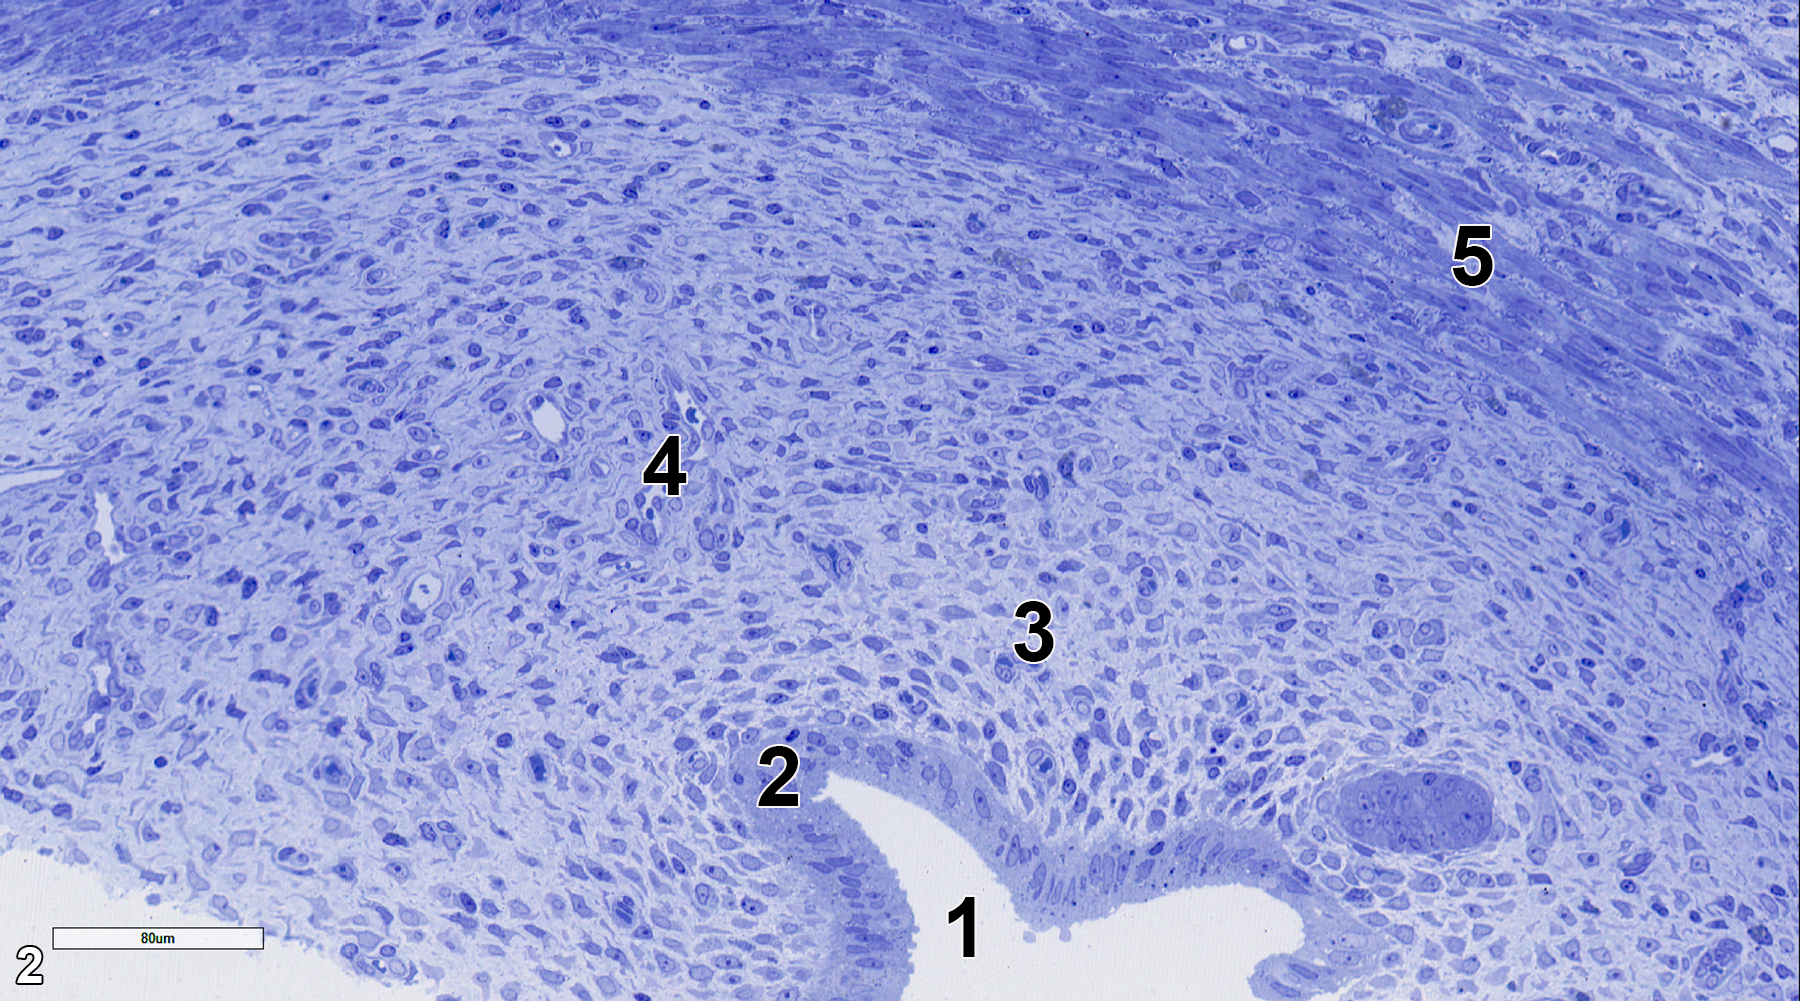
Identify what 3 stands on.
Stromal subepithelial layer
